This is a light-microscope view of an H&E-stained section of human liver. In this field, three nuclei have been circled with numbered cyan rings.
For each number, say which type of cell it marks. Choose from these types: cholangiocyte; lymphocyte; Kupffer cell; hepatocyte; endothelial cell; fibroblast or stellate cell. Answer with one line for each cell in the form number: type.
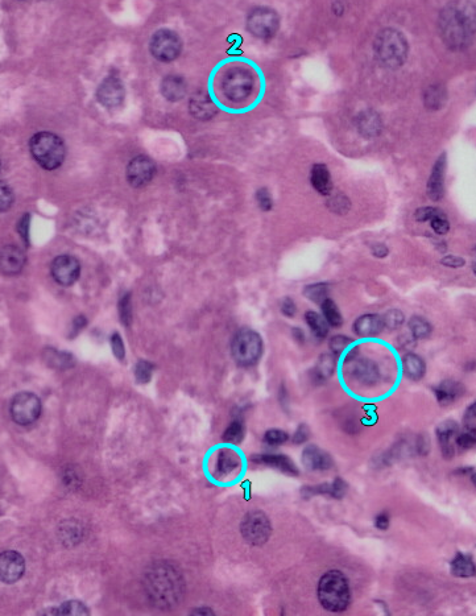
1: fibroblast or stellate cell
2: hepatocyte
3: cholangiocyte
